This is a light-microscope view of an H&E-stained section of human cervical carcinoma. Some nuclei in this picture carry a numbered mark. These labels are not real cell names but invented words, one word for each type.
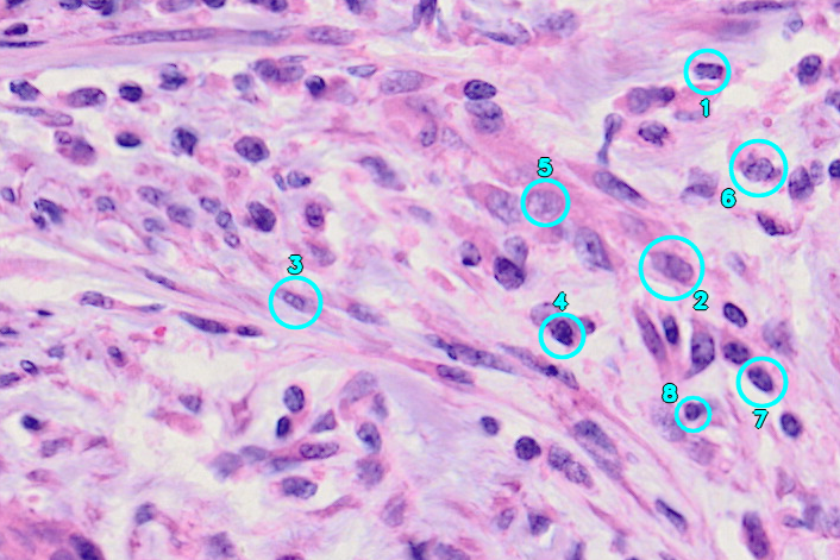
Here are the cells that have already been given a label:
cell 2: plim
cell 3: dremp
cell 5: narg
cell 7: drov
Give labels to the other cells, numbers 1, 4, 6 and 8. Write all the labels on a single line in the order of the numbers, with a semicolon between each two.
drov; drov; plim; drov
